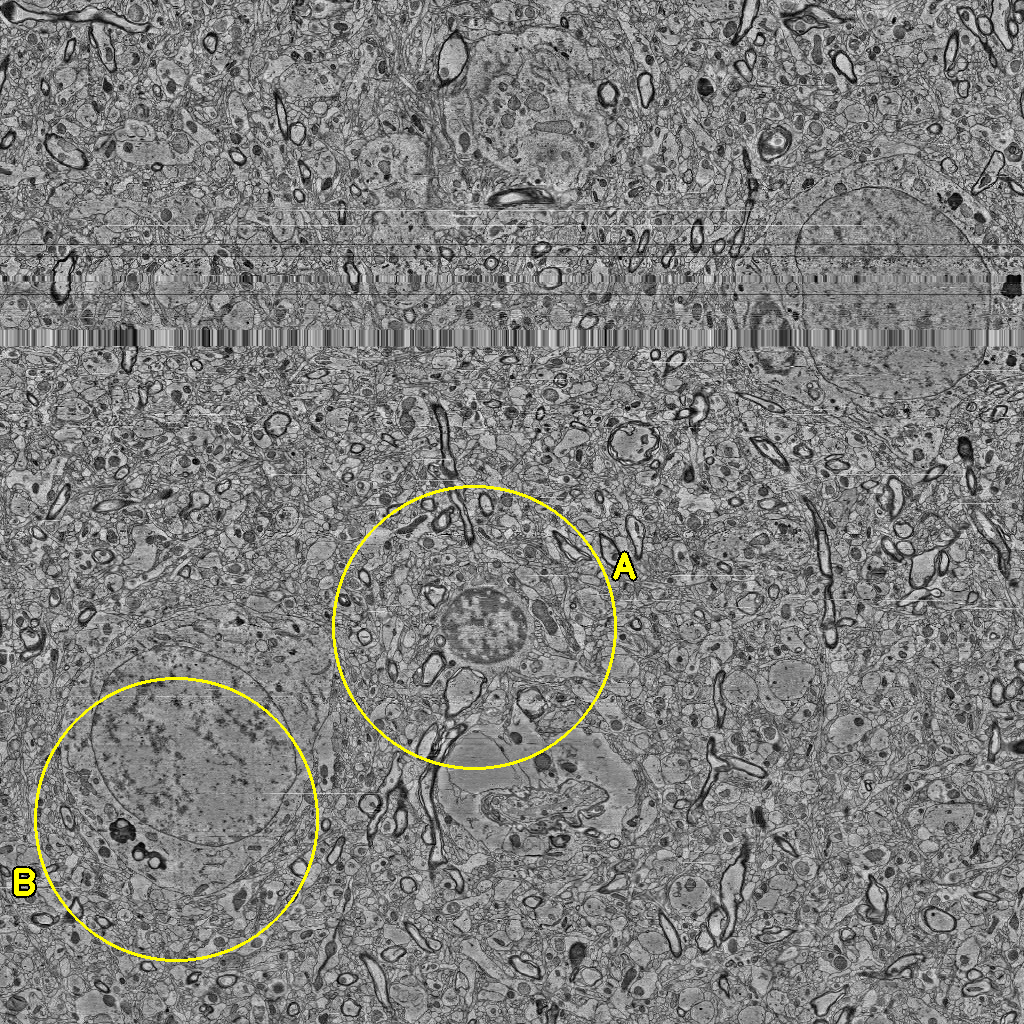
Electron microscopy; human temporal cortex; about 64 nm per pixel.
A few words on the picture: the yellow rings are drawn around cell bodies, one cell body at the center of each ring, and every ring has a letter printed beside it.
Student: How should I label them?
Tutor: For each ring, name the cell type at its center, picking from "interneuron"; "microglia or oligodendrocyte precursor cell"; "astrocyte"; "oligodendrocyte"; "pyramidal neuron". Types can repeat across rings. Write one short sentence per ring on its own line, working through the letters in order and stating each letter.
In ring A, the central cell is an oligodendrocyte.
In ring B, the central cell is a pyramidal neuron.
